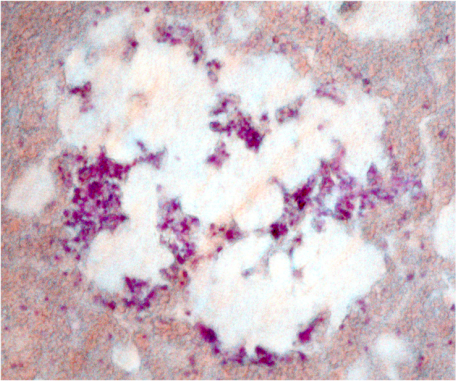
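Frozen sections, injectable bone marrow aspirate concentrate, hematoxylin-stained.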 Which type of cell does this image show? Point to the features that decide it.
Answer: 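Adipose cells. Large pale, empty, rounded spaces lie clustered in the centre of the panel. Dense purple-stained dots crowd the edges of and between these pale spaces.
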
